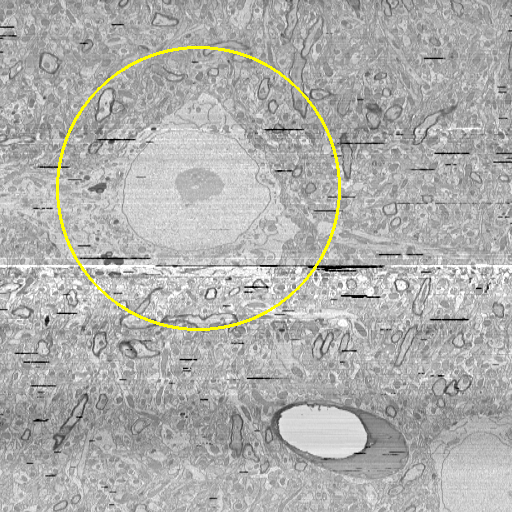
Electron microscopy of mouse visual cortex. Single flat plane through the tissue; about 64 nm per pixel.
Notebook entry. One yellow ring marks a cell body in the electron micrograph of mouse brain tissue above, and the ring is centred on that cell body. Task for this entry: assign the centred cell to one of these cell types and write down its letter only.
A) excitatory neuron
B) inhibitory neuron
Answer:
A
